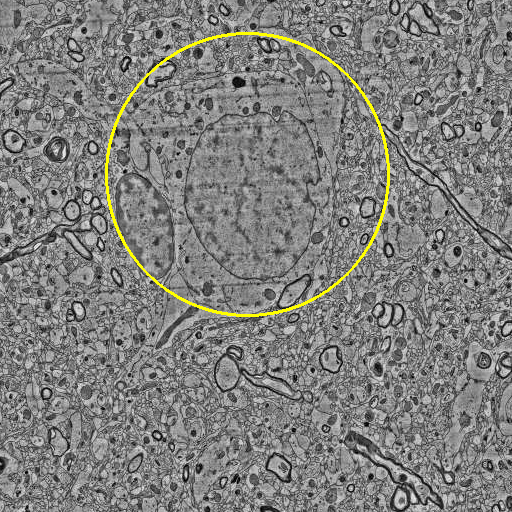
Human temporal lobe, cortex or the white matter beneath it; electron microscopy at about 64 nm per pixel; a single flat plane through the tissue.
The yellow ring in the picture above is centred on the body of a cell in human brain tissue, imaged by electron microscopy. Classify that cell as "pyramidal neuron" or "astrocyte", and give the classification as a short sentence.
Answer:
The cell in the middle of the ring is a pyramidal neuron.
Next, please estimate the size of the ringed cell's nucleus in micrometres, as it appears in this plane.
The nucleus of the ringed cell is approximately 11 by 9 micrometres in this plane.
